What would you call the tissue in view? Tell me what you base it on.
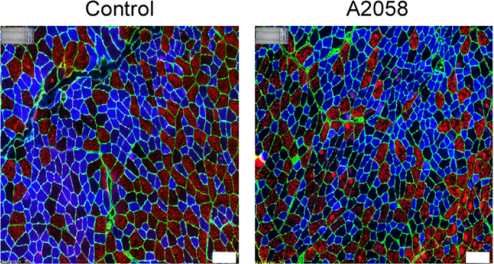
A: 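Each profile is outlined by a thin green border. The profiles fill the field with almost no space between them. That points to this answer: muscle.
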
